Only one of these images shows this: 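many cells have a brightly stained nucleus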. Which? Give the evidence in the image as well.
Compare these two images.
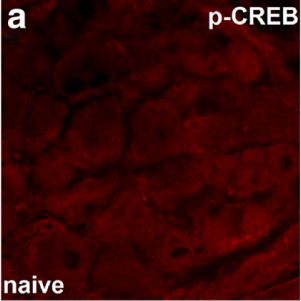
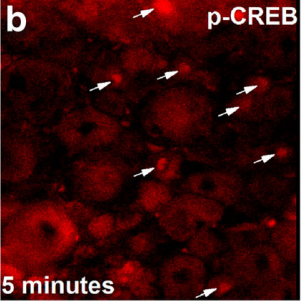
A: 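The second image. Second image: several cell bodies contain a small, bright red round spot. First image: cell bodies are evenly dim red with no bright spots.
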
